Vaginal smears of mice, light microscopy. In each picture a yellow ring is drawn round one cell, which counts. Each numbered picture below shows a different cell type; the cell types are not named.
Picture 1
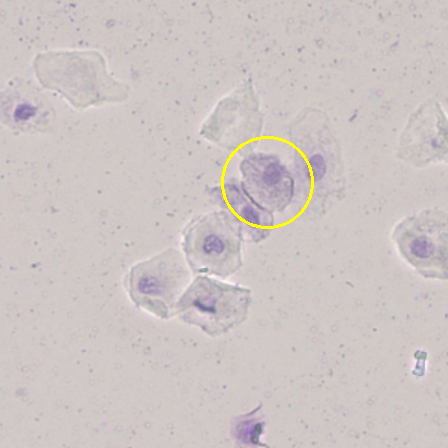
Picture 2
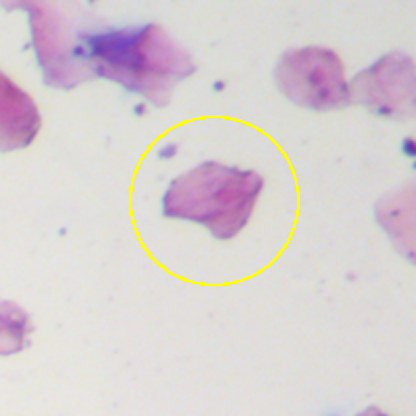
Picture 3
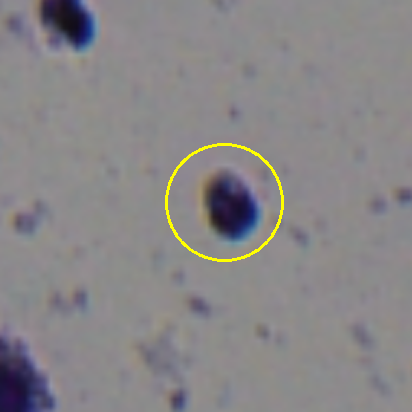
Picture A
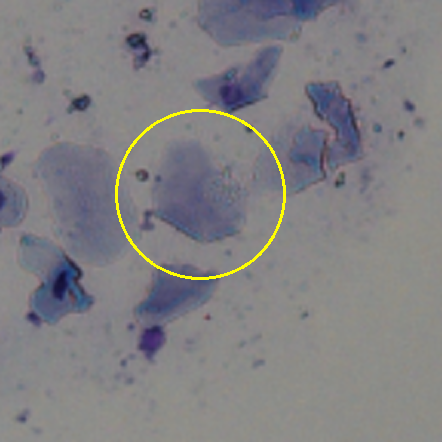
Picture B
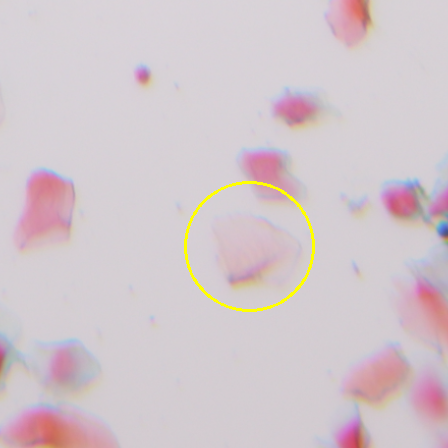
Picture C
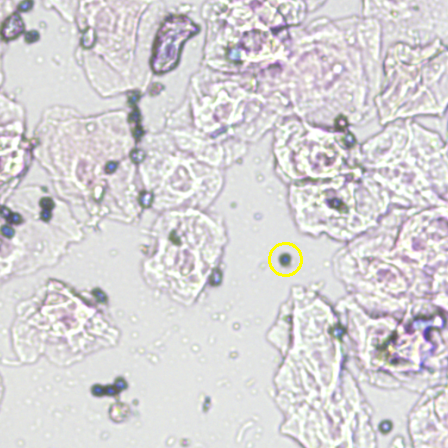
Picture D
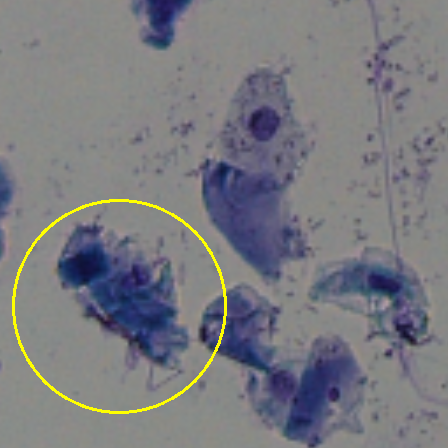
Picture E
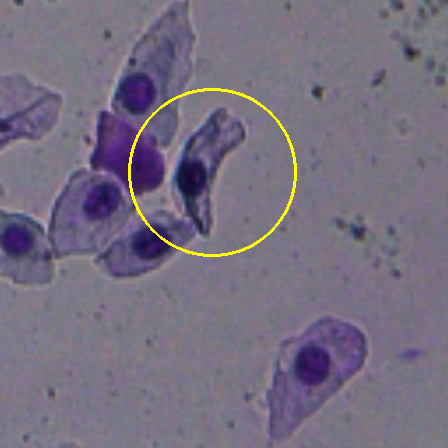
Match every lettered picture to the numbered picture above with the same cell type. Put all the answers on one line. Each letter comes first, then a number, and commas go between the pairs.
A 2, B 2, C 3, D 2, E 1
